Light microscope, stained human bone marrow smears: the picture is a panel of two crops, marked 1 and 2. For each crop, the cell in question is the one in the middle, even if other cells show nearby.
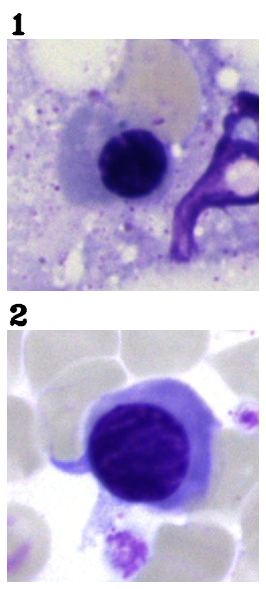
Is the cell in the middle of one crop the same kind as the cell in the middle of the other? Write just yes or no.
yes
